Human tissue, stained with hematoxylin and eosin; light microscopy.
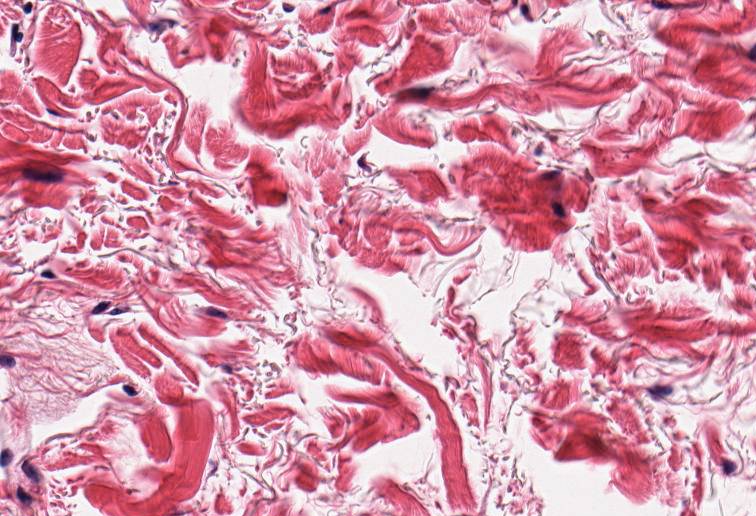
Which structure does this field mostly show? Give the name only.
dermis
